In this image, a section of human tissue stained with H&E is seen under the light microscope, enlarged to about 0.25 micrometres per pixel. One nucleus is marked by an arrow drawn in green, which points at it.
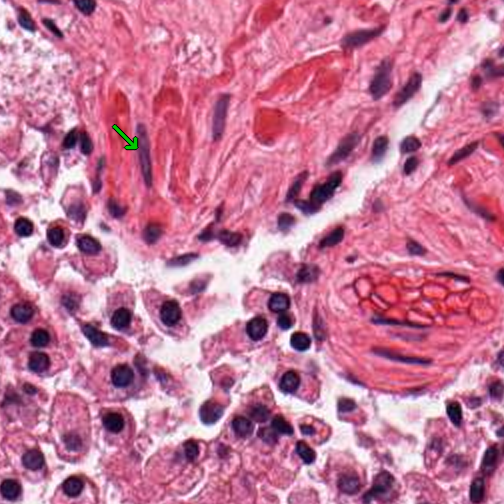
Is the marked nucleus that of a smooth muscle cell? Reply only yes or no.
yes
